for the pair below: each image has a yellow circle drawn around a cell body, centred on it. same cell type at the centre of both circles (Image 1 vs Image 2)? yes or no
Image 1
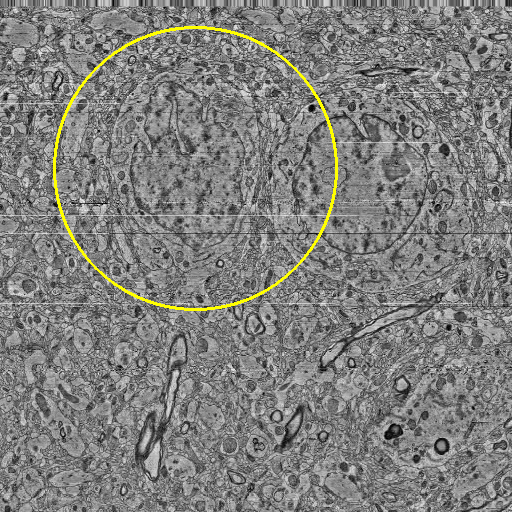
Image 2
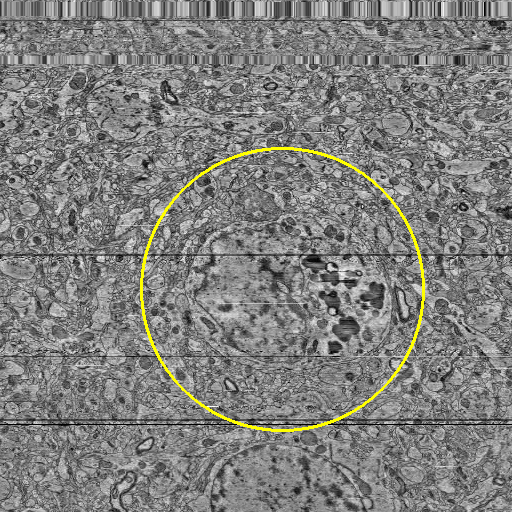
yes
